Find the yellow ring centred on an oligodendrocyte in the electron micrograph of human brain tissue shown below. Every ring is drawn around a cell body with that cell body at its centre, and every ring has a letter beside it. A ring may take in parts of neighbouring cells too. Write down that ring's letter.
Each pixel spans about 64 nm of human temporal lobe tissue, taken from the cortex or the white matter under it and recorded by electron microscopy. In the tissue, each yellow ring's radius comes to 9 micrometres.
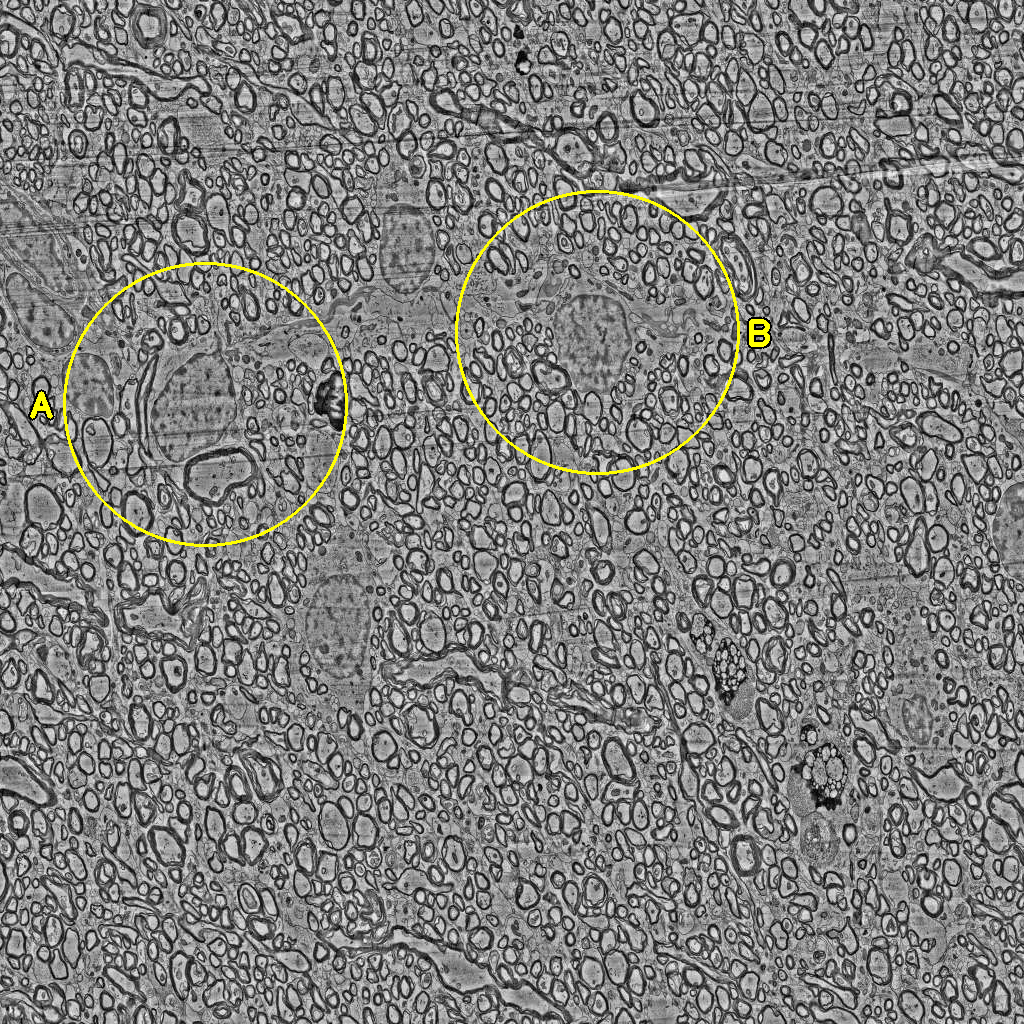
B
